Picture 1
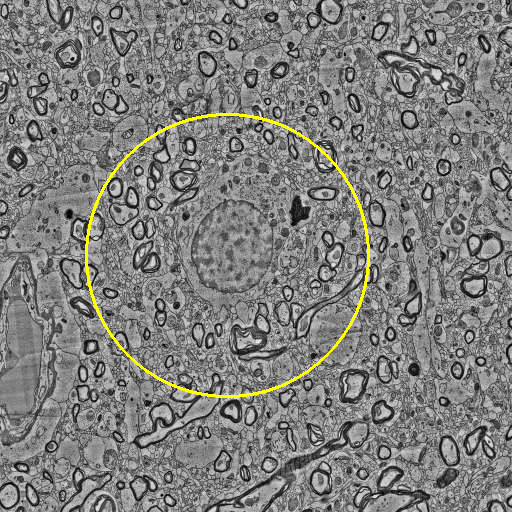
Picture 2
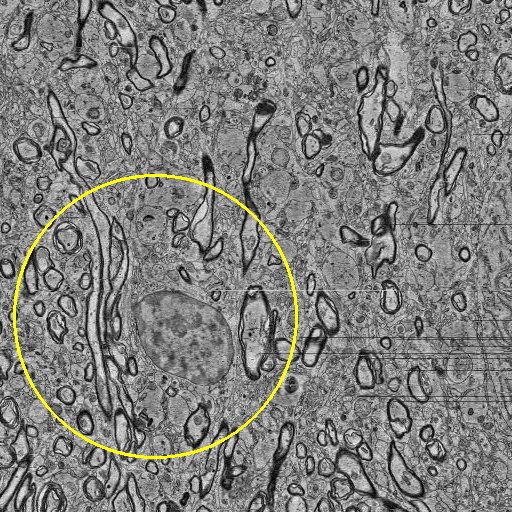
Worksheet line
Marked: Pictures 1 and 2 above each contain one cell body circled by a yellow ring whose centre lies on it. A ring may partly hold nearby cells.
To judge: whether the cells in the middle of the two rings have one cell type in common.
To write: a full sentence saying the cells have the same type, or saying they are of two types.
The cells in the middle of the rings in Picture 1 and Picture 2 are of two types.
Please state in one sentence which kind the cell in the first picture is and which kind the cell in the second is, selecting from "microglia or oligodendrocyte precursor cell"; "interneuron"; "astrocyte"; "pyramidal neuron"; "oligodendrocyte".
The first ringed cell is an oligodendrocyte, the second ringed cell a microglial cell or oligodendrocyte precursor cell.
